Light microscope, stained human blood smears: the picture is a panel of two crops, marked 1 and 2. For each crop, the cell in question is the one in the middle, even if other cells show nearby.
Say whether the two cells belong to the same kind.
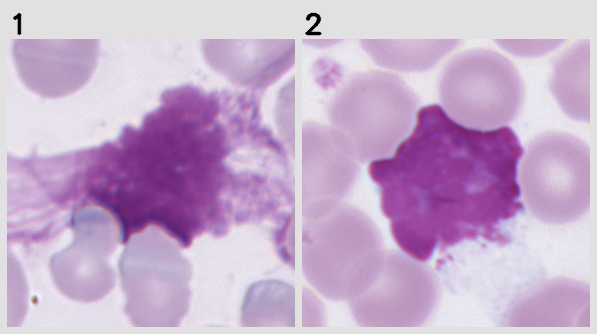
yes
